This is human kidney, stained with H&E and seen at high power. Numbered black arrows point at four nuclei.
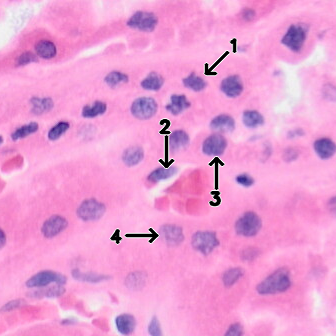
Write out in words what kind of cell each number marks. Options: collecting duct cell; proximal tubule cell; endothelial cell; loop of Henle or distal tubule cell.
Cell 1 is a loop of Henle or distal tubule cell, cell 2 is an endothelial cell, cell 3 is a loop of Henle or distal tubule cell and cell 4 is a proximal tubule cell.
